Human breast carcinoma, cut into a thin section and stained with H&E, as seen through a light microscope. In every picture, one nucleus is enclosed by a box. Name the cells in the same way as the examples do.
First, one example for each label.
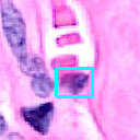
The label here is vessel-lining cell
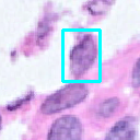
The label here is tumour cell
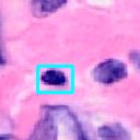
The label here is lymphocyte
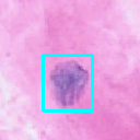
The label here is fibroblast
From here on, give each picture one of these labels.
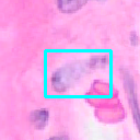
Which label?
vessel-lining cell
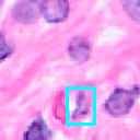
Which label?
vessel-lining cell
